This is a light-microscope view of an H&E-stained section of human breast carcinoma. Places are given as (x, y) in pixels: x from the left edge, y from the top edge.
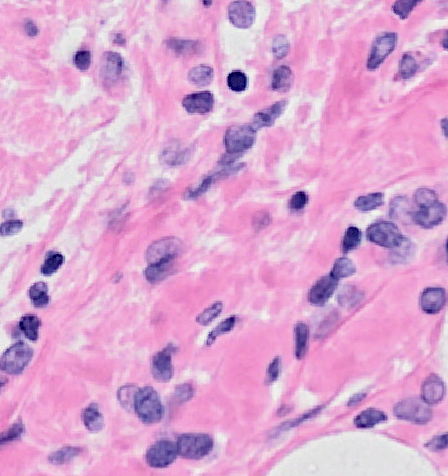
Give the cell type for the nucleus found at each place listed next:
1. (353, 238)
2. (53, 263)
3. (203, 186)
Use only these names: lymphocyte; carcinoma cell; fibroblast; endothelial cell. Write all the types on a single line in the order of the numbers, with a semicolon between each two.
lymphocyte; lymphocyte; fibroblast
